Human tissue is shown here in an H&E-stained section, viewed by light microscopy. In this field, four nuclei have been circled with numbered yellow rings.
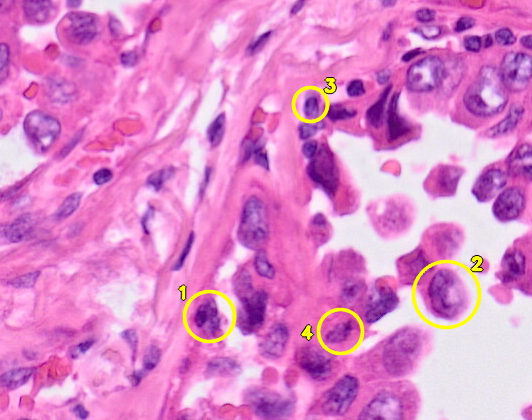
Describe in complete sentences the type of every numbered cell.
Cells 1, 2 and 4 are carcinoma cells. Cell 3 is a lymphocyte.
